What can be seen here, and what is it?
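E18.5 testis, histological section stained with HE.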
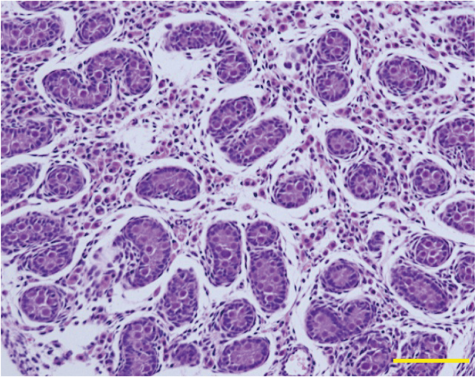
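Large round germ cells with pale cytoplasm and round nuclei lie within the cords, surrounded by smaller cells with darker nuclei toward the cord edge. The interstitium holds scattered cells with dark nuclei and some pink-red material between the tubules.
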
